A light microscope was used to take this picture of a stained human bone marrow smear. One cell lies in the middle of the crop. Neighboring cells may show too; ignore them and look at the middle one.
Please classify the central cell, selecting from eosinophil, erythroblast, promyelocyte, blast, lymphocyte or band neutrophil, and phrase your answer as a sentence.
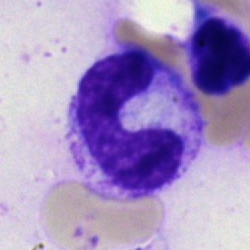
Among the cells in view, the one in the middle is a band neutrophil.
